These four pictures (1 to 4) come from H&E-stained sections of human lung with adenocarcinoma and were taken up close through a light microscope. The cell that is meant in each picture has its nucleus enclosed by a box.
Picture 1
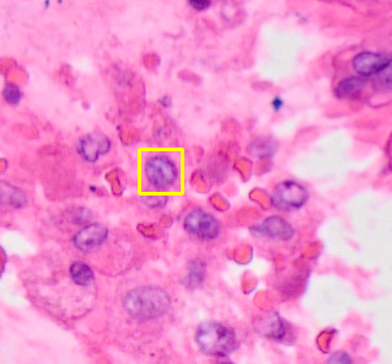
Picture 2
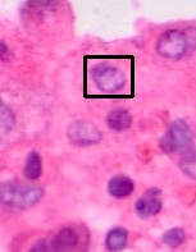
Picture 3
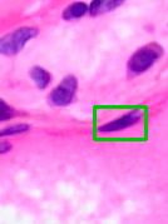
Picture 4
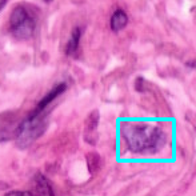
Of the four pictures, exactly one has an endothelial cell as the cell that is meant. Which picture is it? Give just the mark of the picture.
3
